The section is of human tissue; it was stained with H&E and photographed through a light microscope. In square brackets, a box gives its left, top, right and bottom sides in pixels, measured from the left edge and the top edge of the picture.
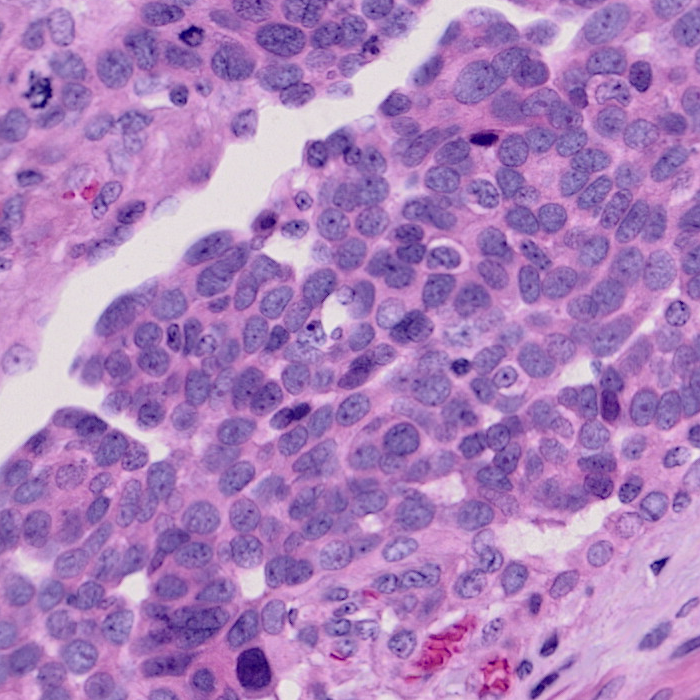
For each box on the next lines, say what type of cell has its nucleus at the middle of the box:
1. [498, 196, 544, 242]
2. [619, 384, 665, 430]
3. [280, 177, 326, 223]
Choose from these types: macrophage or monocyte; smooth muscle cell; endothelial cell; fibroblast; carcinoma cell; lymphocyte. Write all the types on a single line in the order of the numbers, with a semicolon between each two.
carcinoma cell; carcinoma cell; macrophage or monocyte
